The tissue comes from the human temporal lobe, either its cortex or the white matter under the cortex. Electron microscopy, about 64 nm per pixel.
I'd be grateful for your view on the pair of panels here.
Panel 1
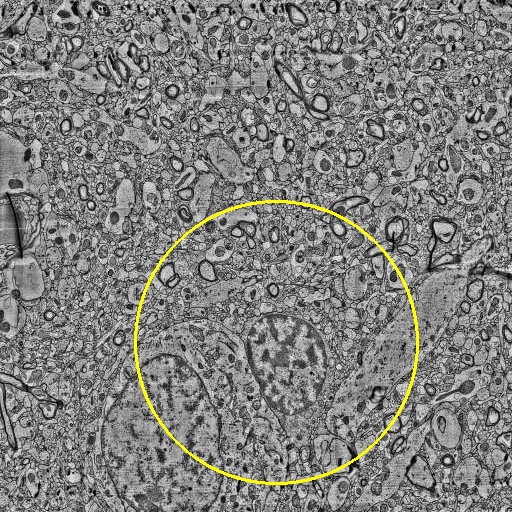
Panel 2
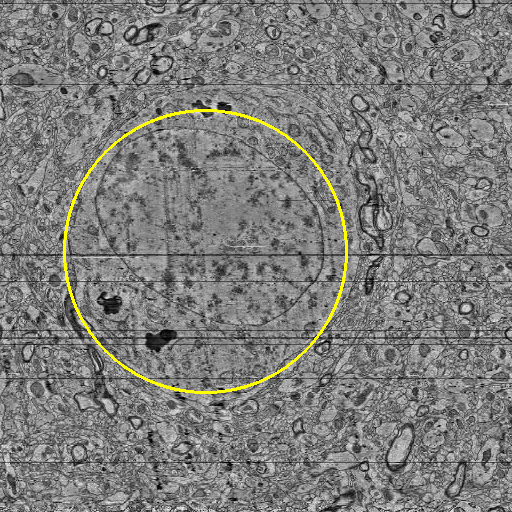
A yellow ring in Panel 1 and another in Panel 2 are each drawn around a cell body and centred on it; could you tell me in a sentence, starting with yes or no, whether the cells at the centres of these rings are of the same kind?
No, they are two kinds of cell.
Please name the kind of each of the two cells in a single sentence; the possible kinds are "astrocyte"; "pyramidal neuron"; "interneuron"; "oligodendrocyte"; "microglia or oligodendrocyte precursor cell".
In the first picture the ring is centred on an oligodendrocyte, and in the second on a pyramidal neuron.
